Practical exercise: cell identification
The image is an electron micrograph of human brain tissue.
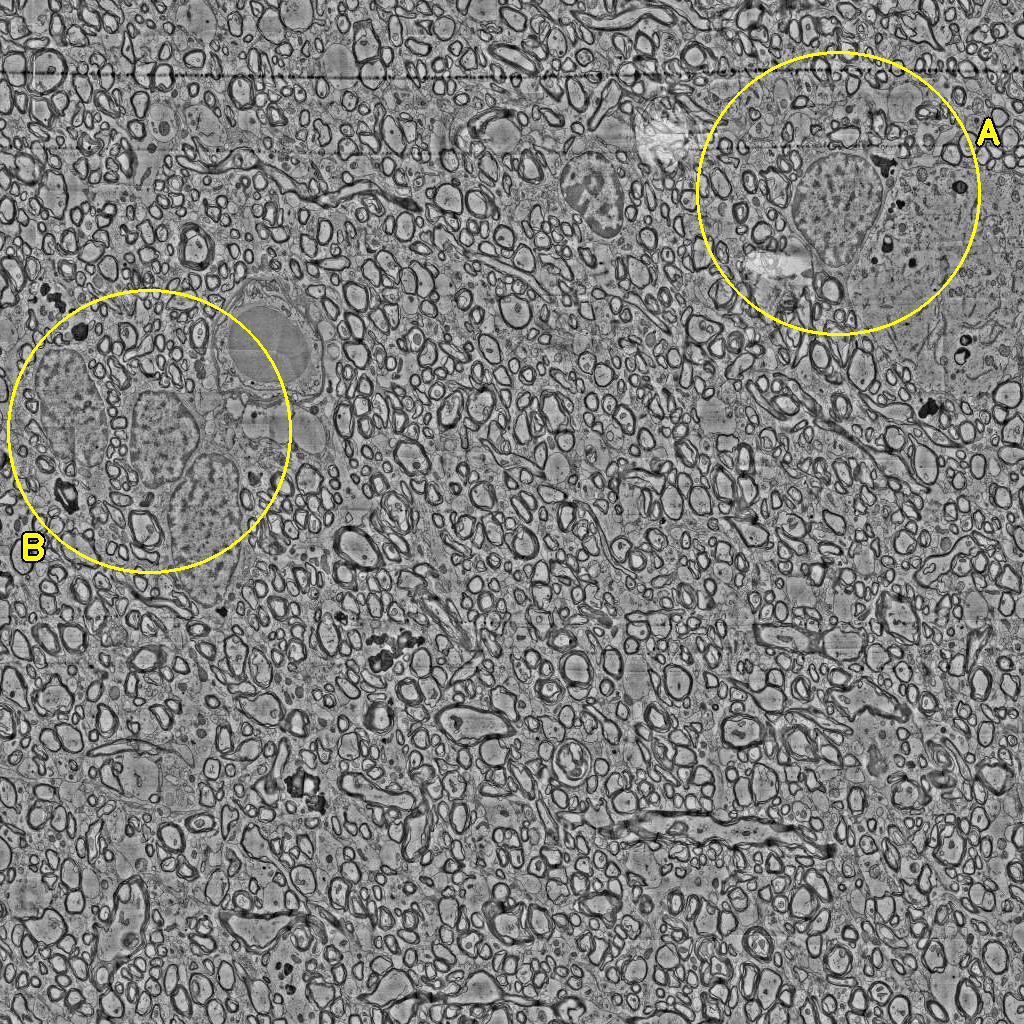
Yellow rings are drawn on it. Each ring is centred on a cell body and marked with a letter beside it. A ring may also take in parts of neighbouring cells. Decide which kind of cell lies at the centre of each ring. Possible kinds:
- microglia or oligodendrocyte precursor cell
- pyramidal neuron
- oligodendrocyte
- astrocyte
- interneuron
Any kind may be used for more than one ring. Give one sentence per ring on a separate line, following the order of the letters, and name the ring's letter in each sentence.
The cell in the middle of ring A is an oligodendrocyte.
The cell in the middle of ring B is an oligodendrocyte.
